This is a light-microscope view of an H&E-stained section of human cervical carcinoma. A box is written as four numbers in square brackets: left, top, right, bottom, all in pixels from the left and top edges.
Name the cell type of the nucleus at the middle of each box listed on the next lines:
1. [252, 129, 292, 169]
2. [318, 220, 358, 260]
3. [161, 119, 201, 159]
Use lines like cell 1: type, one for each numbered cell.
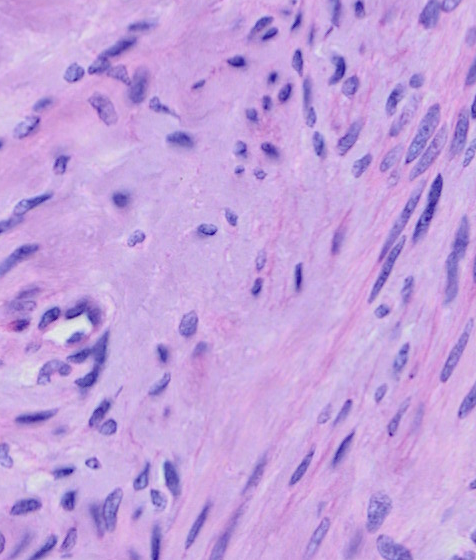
cell 1: smooth muscle cell
cell 2: smooth muscle cell
cell 3: fibroblast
